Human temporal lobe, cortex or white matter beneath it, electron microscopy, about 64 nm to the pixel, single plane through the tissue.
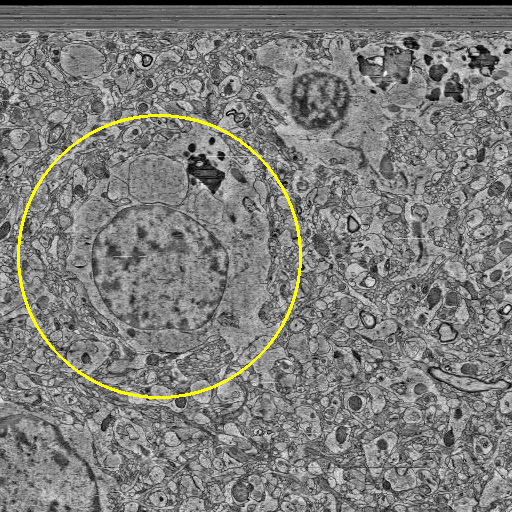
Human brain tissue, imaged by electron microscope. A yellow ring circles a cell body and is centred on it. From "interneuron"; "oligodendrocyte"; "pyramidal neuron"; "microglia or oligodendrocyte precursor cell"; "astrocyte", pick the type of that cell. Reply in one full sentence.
The cell body at the centre of the yellow ring belongs to an astrocyte.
